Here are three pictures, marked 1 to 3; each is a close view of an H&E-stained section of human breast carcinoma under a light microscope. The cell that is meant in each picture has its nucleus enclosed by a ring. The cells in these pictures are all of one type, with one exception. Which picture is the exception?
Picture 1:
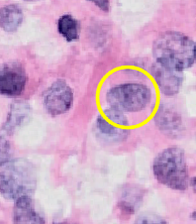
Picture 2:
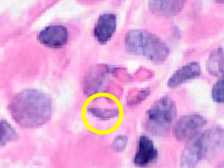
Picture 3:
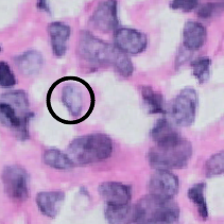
2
